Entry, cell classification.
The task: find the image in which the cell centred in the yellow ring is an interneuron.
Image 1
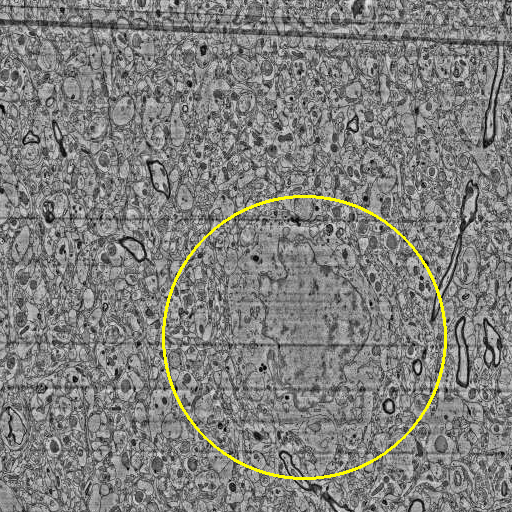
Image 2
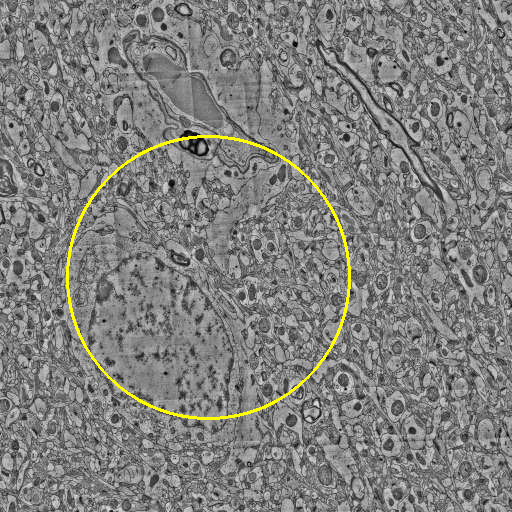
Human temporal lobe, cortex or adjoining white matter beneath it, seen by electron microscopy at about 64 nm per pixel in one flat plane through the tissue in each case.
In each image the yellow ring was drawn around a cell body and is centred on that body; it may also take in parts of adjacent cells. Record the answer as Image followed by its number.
Image 1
